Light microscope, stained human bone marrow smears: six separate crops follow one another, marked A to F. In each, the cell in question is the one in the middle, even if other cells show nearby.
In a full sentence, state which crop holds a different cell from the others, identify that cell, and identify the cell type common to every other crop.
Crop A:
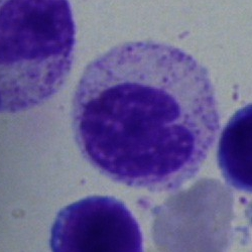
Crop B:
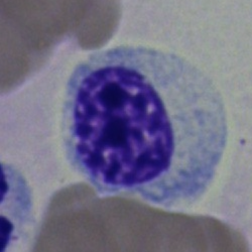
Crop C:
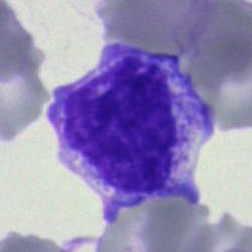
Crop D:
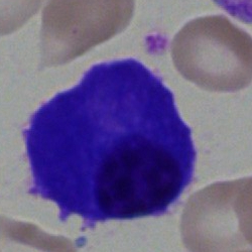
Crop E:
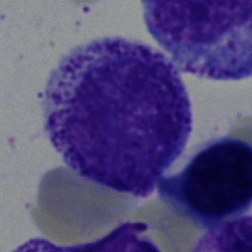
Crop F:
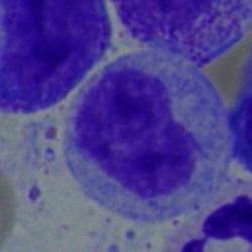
Crop D is the one that is a plasma cell, and the other crops all show myelocytes.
